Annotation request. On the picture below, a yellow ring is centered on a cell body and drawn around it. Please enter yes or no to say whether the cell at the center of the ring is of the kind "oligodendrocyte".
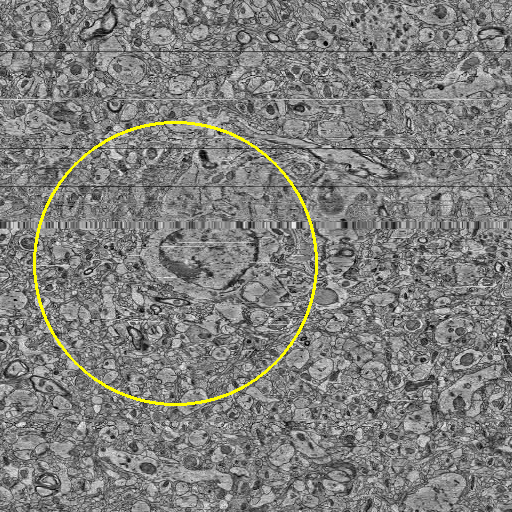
no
